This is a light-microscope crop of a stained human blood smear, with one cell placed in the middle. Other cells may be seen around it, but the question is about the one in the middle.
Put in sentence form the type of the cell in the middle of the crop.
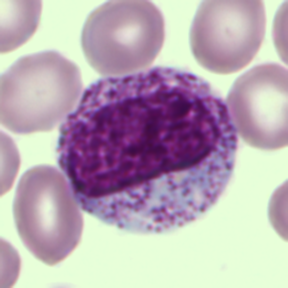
On this slide crop, the central cell is a myelocyte.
